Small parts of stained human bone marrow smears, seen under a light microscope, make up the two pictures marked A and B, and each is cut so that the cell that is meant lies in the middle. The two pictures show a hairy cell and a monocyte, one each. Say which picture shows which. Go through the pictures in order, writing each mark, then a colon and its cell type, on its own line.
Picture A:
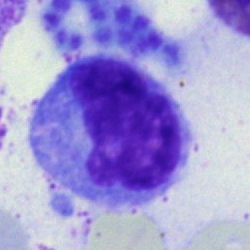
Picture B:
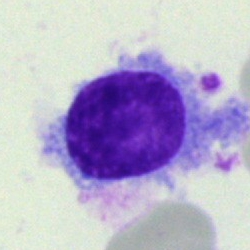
A: monocyte
B: hairy cell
